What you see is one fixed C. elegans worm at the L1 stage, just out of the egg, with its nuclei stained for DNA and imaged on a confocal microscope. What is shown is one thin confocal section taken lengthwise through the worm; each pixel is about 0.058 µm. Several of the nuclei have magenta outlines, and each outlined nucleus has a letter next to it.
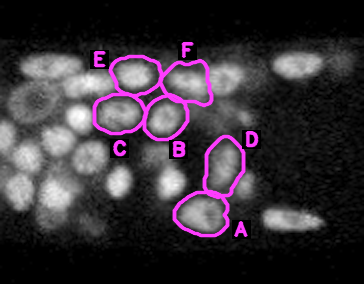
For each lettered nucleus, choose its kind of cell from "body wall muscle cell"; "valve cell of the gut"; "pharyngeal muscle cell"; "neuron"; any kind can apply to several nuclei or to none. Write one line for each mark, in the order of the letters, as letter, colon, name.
A: body wall muscle cell
B: pharyngeal muscle cell
C: pharyngeal muscle cell
D: valve cell of the gut
E: neuron
F: body wall muscle cell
